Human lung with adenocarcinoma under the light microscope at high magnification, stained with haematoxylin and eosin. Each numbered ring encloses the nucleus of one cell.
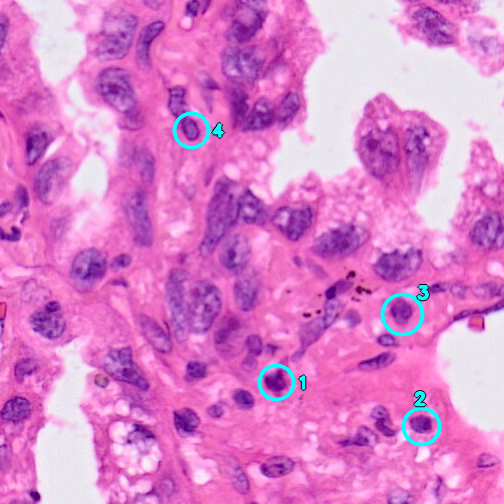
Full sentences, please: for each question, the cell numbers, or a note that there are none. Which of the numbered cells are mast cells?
Where the numbered cells are concerned, only number 4 is a mast cell.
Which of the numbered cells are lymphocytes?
Only at number 2 is there a lymphocyte.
